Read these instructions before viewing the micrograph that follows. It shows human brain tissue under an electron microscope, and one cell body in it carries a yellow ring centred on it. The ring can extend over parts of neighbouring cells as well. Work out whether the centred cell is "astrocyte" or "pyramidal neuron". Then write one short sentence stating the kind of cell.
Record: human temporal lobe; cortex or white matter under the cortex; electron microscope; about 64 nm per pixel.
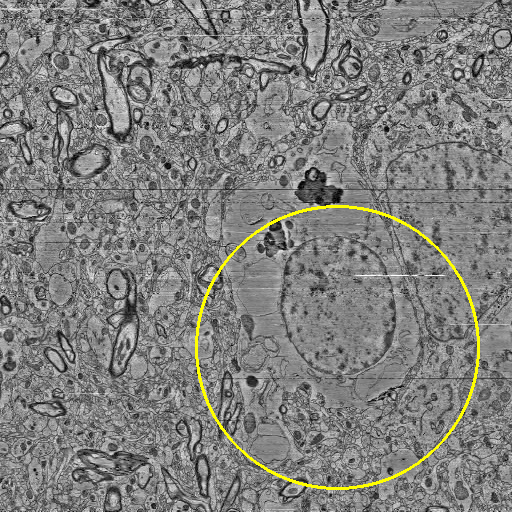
The ringed cell is an astrocyte.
